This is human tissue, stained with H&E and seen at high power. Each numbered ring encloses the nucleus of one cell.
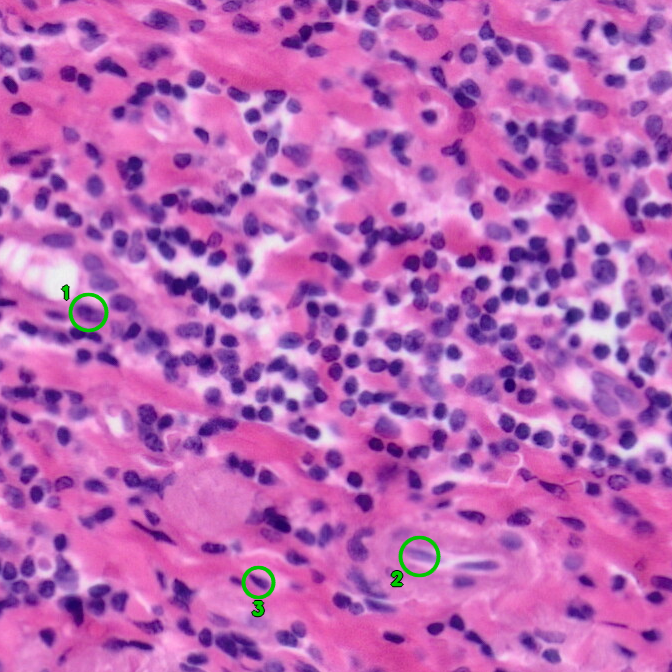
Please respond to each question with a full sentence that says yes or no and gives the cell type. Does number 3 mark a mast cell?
Yes, the cell whose number is 3 is a mast cell.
